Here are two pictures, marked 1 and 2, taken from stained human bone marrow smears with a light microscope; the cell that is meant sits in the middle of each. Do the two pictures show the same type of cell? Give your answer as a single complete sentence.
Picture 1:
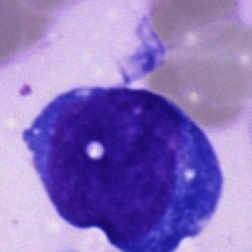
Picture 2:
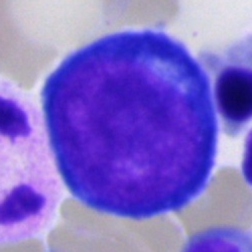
Yes, both cells are proerythroblasts.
